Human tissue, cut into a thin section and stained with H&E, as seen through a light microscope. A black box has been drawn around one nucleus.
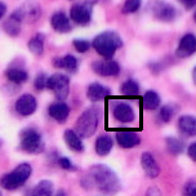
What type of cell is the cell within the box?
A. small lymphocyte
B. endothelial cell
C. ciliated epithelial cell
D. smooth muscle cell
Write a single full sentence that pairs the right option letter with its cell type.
The correct option is A, and the cell within the box is a small lymphocyte.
